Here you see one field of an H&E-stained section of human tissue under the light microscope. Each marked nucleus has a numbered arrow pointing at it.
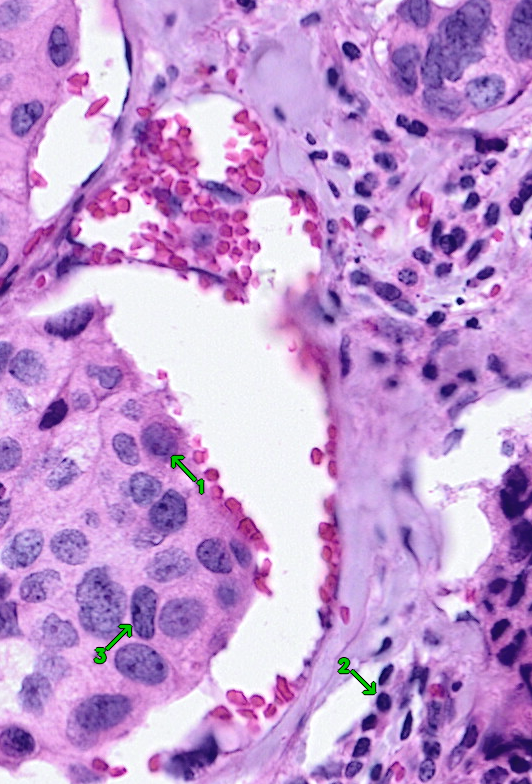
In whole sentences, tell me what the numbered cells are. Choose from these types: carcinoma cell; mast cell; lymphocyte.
Cells 1 and 3 are carcinoma cells. Cell 2 is a lymphocyte.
